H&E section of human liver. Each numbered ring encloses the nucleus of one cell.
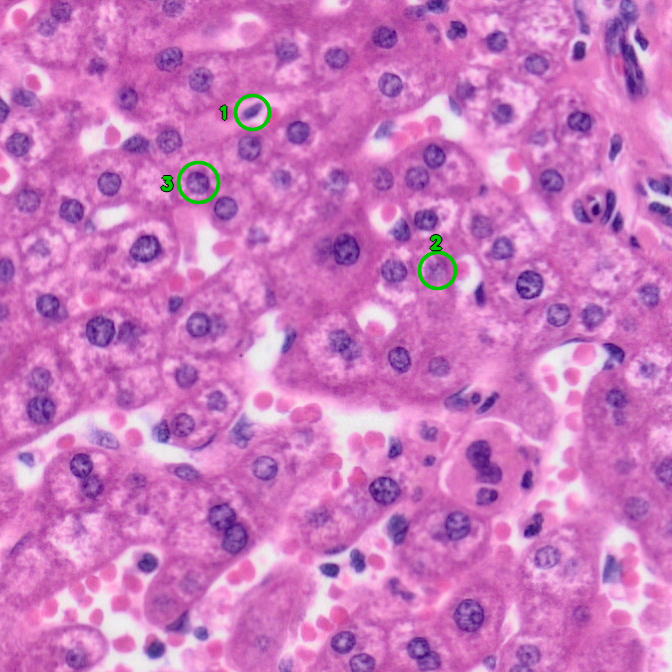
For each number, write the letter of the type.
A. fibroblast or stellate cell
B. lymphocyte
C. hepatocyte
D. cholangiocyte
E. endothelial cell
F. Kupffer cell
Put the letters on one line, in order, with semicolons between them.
B; C; C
